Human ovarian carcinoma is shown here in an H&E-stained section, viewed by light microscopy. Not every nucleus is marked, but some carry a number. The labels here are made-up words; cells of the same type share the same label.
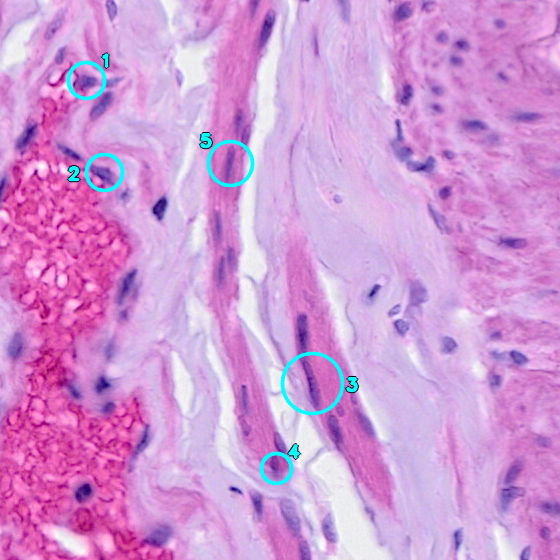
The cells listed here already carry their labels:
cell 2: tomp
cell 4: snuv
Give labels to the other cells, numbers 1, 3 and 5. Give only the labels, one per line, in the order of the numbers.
tomp
snuv
snuv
